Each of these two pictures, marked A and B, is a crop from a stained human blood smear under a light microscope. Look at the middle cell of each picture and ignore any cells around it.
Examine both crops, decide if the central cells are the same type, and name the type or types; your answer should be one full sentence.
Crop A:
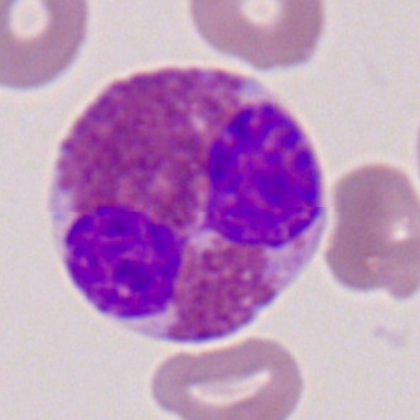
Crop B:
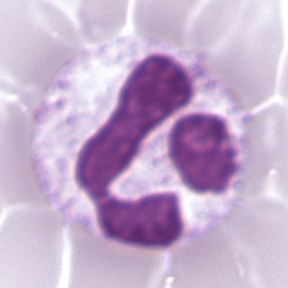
No, the cell in crop A is an eosinophil, and the cell in crop B is a segmented neutrophil.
